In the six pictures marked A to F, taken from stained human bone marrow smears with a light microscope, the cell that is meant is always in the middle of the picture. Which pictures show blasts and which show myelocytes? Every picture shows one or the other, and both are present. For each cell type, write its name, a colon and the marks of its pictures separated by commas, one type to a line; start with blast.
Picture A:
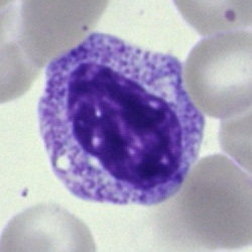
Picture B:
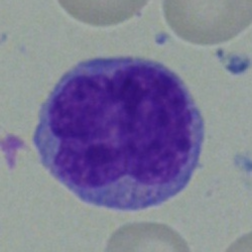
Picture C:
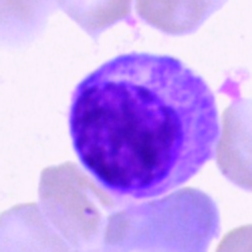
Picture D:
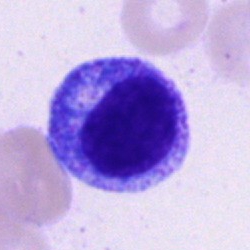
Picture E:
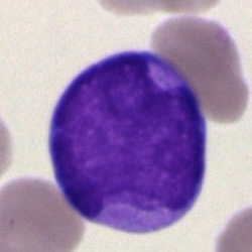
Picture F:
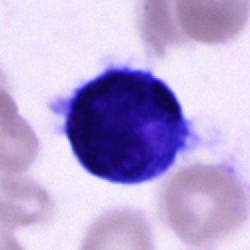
blast: B, E, F
myelocyte: A, C, D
